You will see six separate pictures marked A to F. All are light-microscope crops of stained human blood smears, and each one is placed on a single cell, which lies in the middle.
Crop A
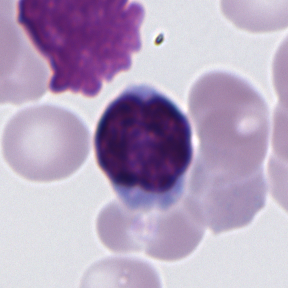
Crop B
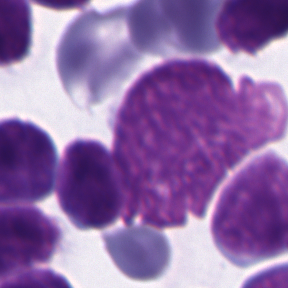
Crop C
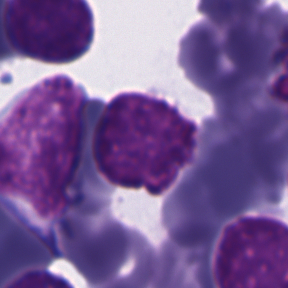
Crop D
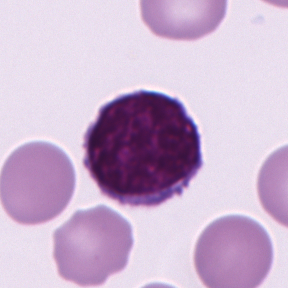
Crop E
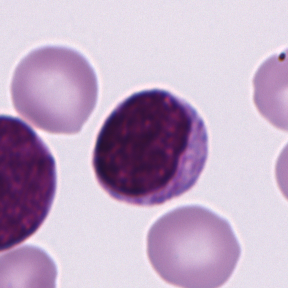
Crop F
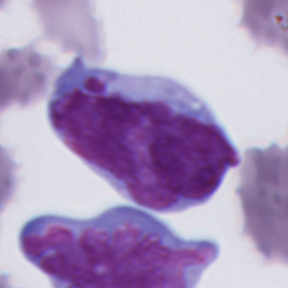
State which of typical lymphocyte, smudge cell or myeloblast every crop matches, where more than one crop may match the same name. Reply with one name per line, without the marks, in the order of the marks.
typical lymphocyte
smudge cell
smudge cell
typical lymphocyte
typical lymphocyte
myeloblast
